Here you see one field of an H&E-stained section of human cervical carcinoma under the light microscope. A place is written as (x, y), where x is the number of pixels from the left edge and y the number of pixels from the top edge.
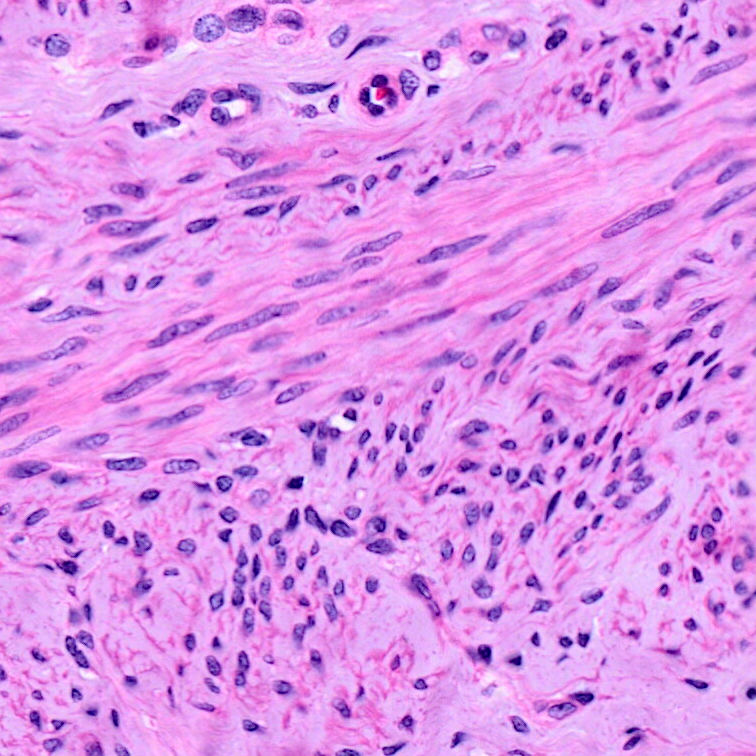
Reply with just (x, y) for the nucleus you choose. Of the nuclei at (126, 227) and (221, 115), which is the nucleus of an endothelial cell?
(221, 115)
